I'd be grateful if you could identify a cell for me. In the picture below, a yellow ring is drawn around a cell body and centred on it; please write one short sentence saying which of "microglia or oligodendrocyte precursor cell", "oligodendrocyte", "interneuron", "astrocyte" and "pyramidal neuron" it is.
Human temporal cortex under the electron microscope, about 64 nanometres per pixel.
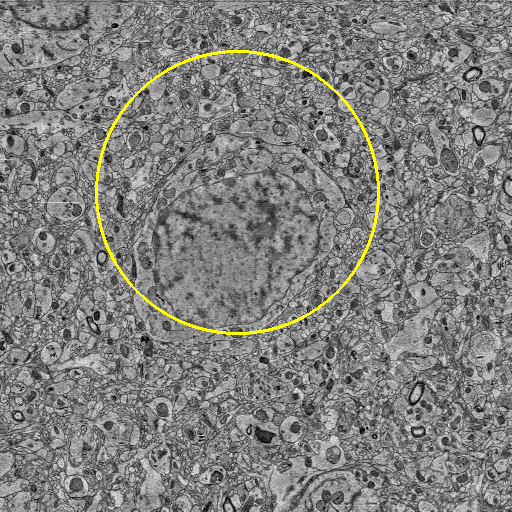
The cell under the ring's centre is an interneuron.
